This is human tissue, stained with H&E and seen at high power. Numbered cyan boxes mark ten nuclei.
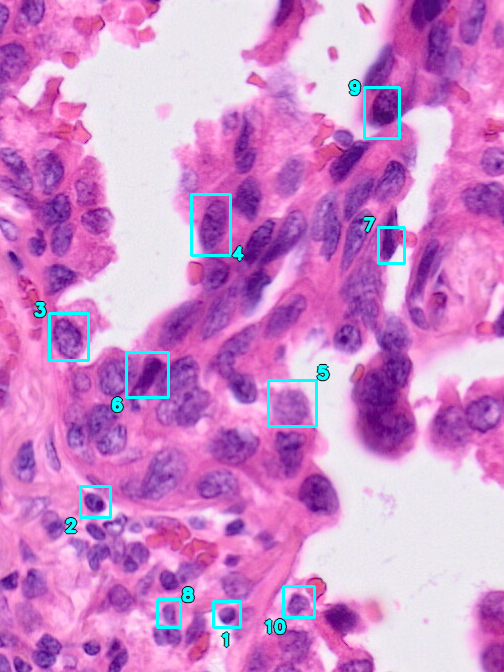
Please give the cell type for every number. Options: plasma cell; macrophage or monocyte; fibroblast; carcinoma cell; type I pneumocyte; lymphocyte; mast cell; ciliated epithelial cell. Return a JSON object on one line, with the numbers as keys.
{"1": "lymphocyte", "2": "lymphocyte", "3": "carcinoma cell", "4": "carcinoma cell", "5": "carcinoma cell", "6": "carcinoma cell", "7": "carcinoma cell", "8": "lymphocyte", "9": "carcinoma cell", "10": "lymphocyte"}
